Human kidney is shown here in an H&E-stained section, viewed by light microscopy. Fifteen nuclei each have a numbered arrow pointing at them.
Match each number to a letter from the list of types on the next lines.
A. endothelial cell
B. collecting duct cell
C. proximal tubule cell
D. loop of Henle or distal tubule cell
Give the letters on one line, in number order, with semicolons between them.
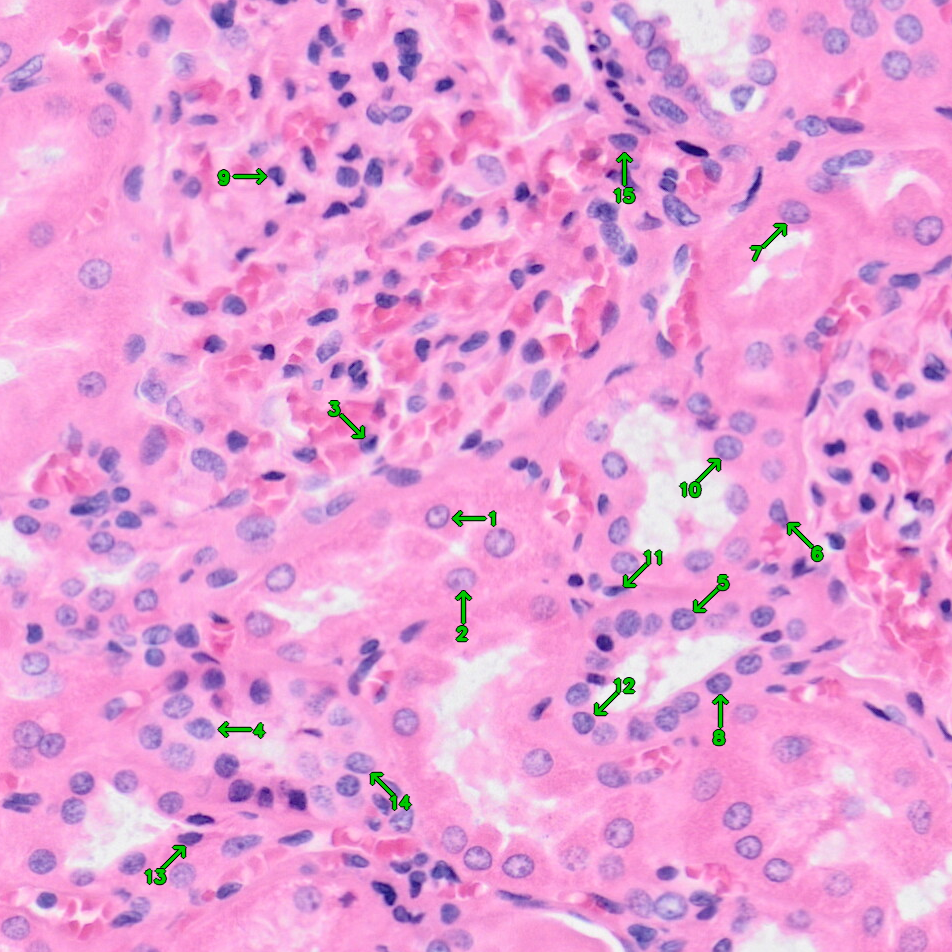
C; C; A; B; B; A; C; B; A; D; A; B; D; B; A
